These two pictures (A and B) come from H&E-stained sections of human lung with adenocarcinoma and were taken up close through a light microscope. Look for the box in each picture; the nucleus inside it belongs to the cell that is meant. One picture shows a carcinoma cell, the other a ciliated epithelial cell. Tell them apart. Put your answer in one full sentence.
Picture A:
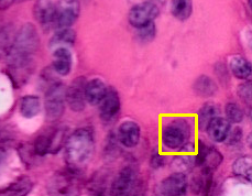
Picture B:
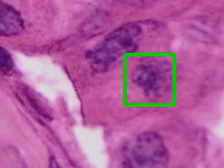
The cell in picture A is a ciliated epithelial cell, and the one in picture B is a carcinoma cell.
